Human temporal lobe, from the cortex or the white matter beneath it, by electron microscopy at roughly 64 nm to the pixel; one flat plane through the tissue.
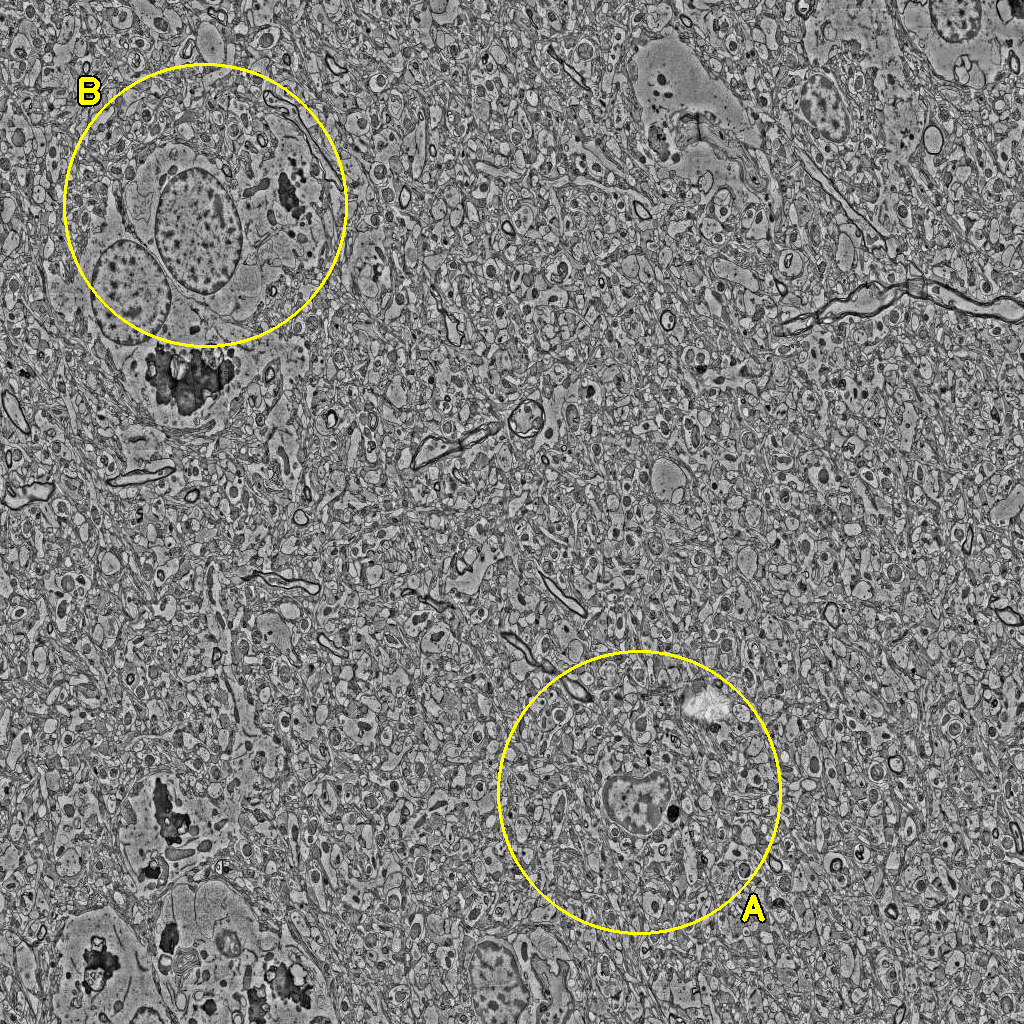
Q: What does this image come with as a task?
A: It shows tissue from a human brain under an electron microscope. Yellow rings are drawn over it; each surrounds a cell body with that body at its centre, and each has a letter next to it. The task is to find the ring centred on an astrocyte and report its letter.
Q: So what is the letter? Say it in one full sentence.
It is B, the letter of the ring centred on the cell asked for in the picture.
